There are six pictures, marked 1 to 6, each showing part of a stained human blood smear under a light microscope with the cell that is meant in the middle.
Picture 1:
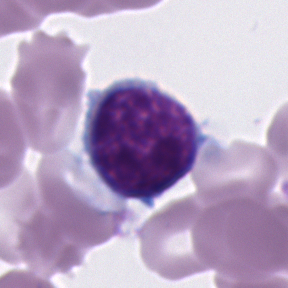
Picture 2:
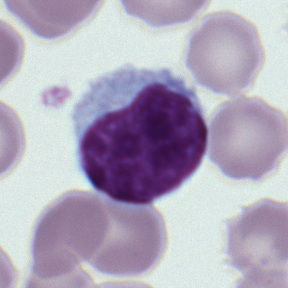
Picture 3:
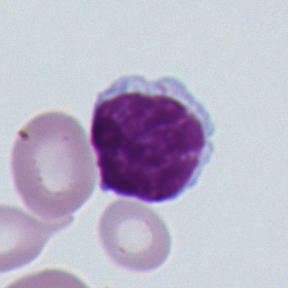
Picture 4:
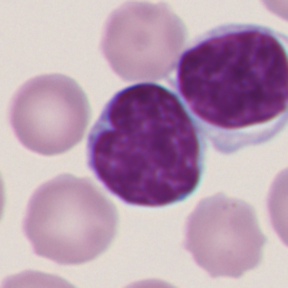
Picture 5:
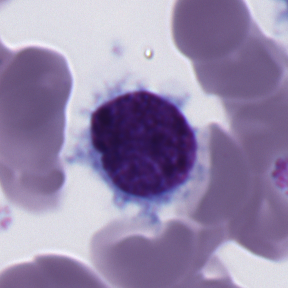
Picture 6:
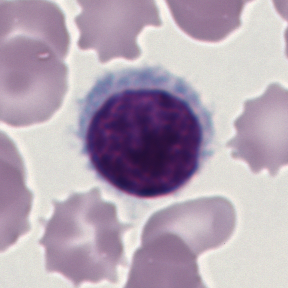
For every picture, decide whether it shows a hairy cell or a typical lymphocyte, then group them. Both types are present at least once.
1: typical lymphocyte
2: typical lymphocyte
3: typical lymphocyte
4: typical lymphocyte
5: hairy cell
6: hairy cell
